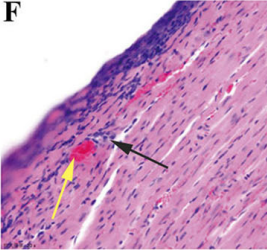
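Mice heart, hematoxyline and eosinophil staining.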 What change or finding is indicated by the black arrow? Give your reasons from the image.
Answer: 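The black arrow points to a cluster of small, dark blue, round nuclei. Such densely packed small nuclei form a band along the outer edge of the muscle. So: inflammation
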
